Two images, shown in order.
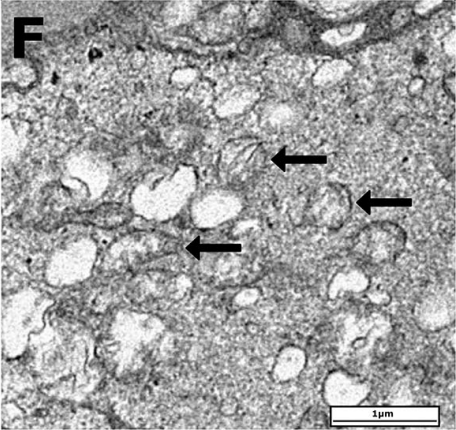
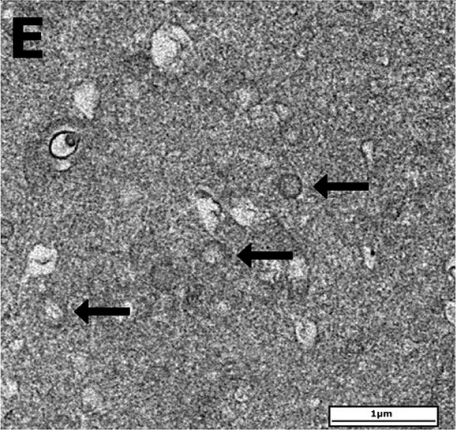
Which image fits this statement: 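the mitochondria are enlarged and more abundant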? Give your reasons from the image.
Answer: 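First image: many larger oval organelles with internal folds crowd the cytoplasm. Second image: only a few small round profiles are scattered in a dense cytoplasm.
Answer: the first image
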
